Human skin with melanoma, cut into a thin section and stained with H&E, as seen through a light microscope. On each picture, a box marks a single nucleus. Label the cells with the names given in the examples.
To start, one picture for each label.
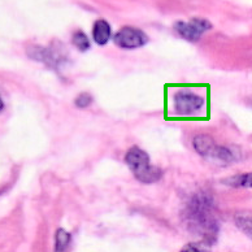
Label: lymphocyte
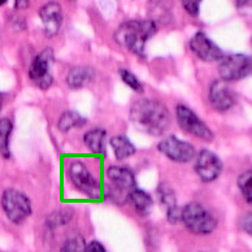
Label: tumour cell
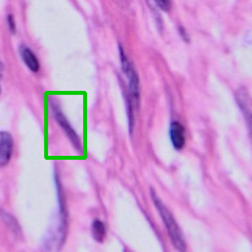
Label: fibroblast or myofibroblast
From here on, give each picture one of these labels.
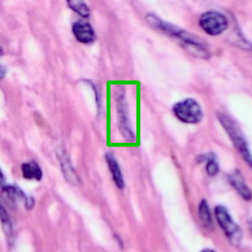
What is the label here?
fibroblast or myofibroblast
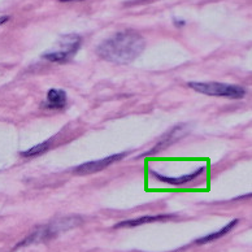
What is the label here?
fibroblast or myofibroblast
